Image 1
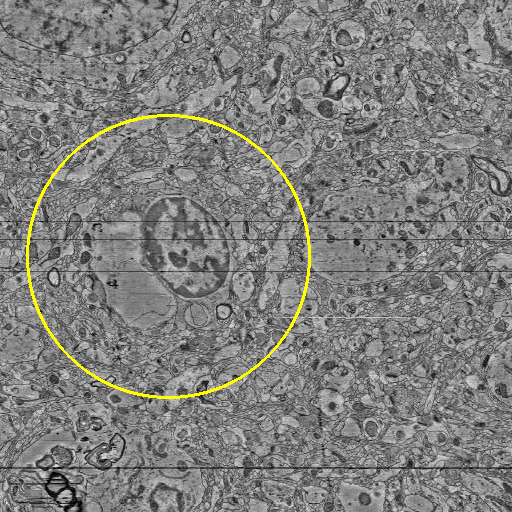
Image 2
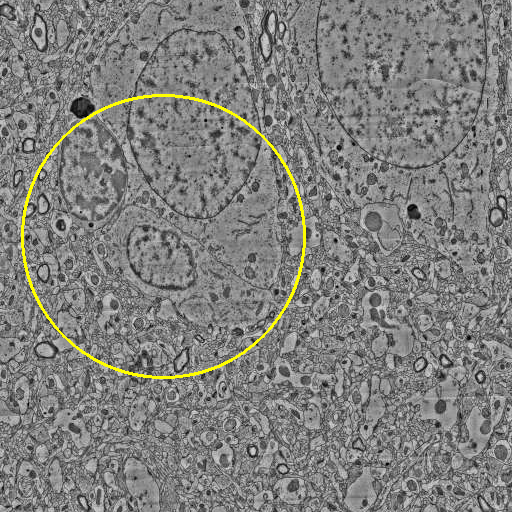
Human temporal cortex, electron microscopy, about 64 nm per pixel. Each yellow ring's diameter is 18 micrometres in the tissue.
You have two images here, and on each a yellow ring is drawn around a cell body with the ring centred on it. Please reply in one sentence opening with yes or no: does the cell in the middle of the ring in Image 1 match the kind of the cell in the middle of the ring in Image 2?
Yes, the two images show cells of one kind at the centres of their rings.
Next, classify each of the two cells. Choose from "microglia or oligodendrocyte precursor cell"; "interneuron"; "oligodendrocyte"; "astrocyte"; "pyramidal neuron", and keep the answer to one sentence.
In each of the two pictures, the ringed cell is a microglial cell or oligodendrocyte precursor cell.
